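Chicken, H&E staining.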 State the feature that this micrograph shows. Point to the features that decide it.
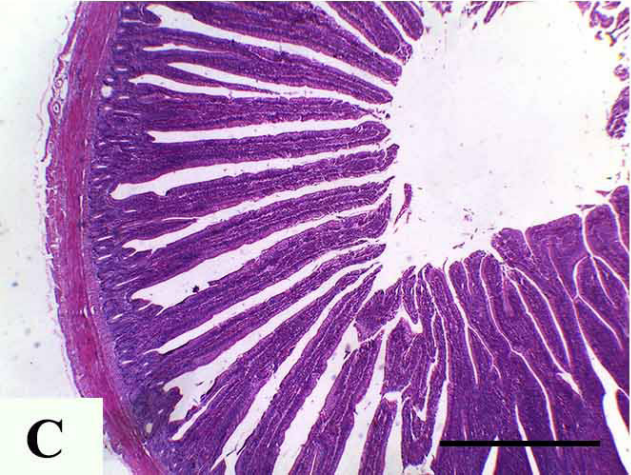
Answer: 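Long, slender finger-like projections radiate toward a central lumen. Projections are covered by a purple-staining epithelium.
Hence: intestinal villi.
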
